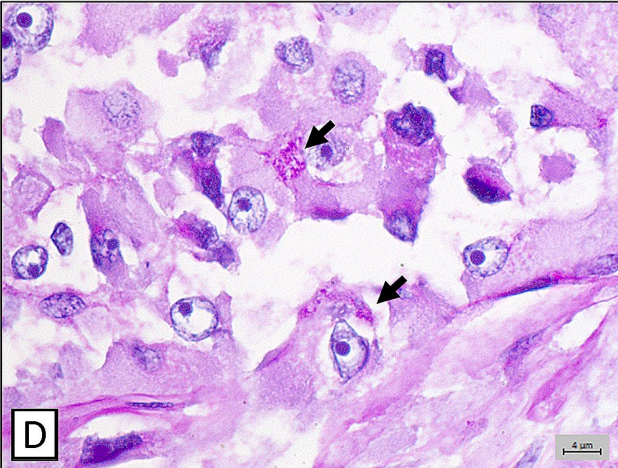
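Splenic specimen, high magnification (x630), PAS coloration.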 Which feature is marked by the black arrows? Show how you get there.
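Rod-like structures. Small magenta rod-shaped bodies sit in the cytoplasm beside the nucleus. The bodies stain more intensely than the surrounding pale purple cytoplasm.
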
